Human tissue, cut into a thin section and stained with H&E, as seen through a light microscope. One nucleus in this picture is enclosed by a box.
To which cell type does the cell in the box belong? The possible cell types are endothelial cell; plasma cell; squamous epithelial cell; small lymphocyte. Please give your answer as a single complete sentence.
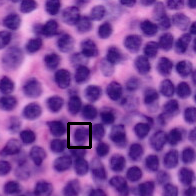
In the stained section, the cell in the box is a small lymphocyte.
